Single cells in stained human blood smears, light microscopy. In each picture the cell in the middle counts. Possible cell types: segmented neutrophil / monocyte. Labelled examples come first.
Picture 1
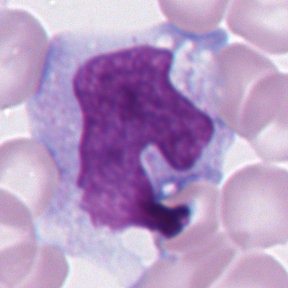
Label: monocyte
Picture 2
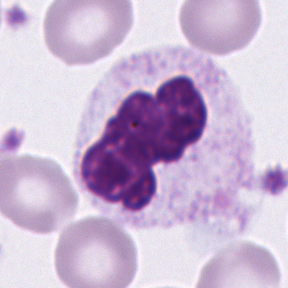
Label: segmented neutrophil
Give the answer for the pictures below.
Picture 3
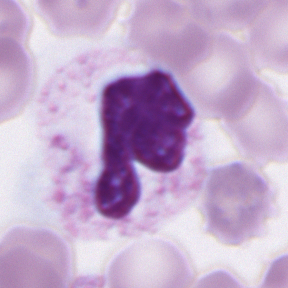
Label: segmented neutrophil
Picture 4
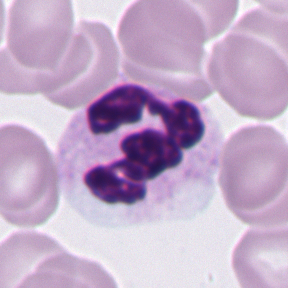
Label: segmented neutrophil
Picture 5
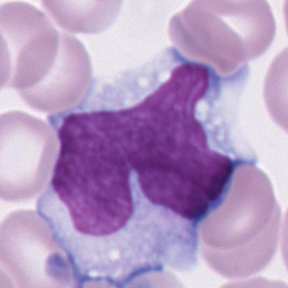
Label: monocyte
